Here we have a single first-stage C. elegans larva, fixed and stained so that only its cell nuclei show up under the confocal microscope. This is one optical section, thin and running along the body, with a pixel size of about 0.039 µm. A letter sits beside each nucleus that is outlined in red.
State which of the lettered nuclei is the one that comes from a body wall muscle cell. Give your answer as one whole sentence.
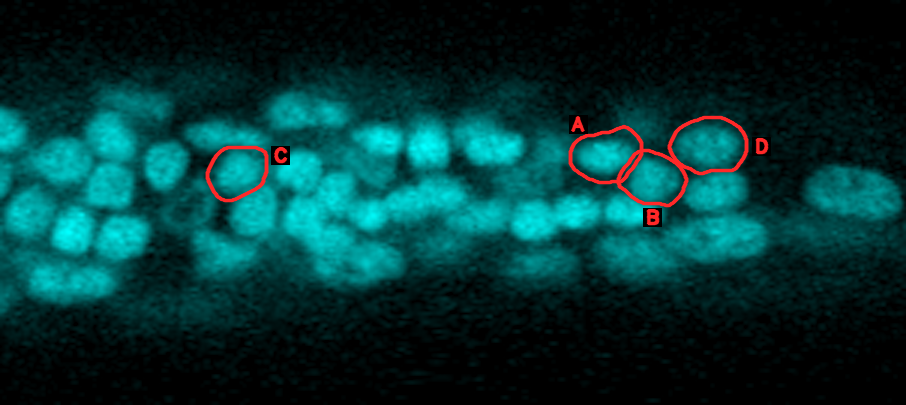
It is D that belongs to a body wall muscle cell.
